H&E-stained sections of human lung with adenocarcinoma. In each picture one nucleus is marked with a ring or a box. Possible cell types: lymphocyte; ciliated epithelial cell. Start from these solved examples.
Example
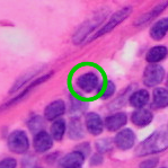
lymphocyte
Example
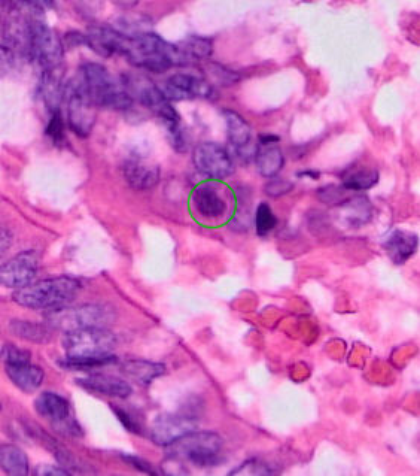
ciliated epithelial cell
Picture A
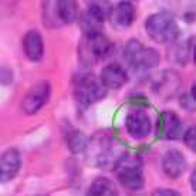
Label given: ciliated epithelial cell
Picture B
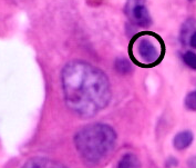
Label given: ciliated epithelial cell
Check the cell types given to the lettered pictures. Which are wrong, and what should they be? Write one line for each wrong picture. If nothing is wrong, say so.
A: not ciliated epithelial cell but lymphocyte
B: not ciliated epithelial cell but lymphocyte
